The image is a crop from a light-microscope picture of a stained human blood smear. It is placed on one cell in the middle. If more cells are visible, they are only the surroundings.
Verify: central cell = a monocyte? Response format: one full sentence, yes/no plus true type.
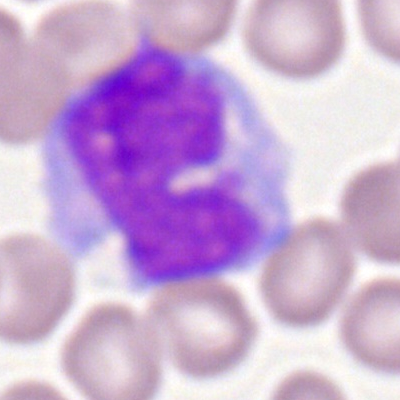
Yes, a monocyte is what the central cell is.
